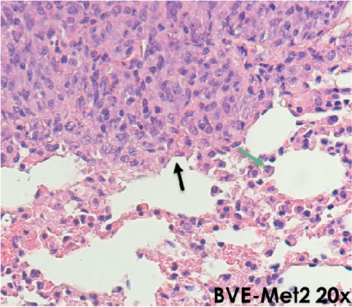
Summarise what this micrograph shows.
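This is lung tissue at the border of a metastatic focus, with a solid sheet of tumor cells filling the upper part and alveolar lung below and to the right. The tumor cells are crowded together without alveolar spaces between them, and have enlarged, oval, purple nuclei of varying size and pink cytoplasm. Below the focus the alveolar walls are thickened and crowded with cells with dark nuclei, while a few open, empty alveolar spaces remain. A black arrow marks the edge of the tumor mass, and a green arrow marks a single cell in an alveolar wall near it.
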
